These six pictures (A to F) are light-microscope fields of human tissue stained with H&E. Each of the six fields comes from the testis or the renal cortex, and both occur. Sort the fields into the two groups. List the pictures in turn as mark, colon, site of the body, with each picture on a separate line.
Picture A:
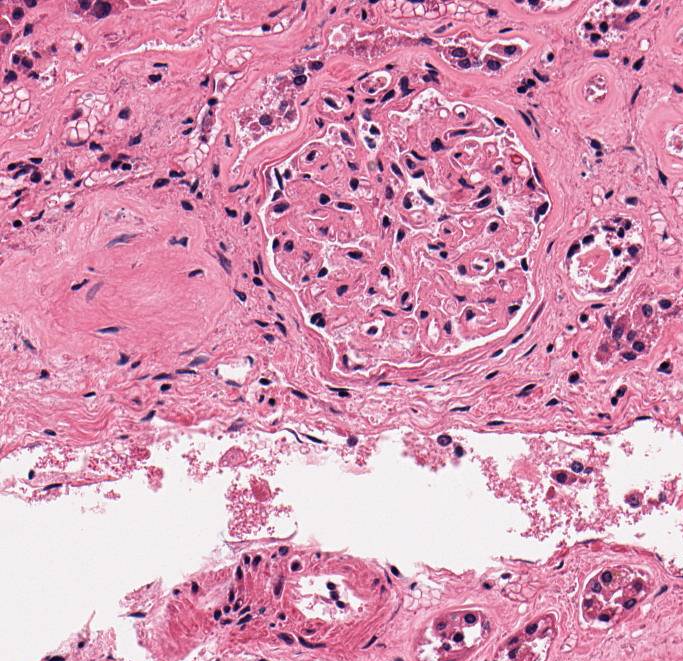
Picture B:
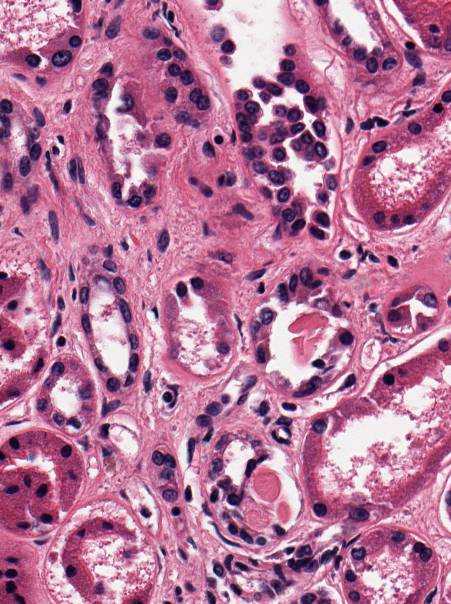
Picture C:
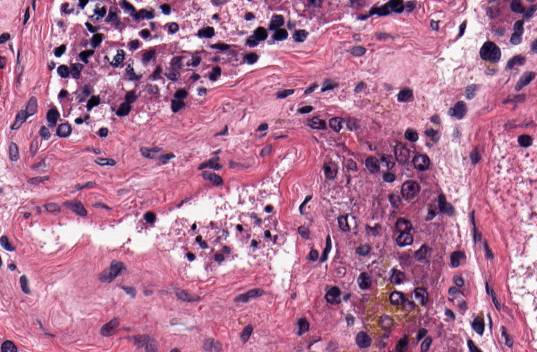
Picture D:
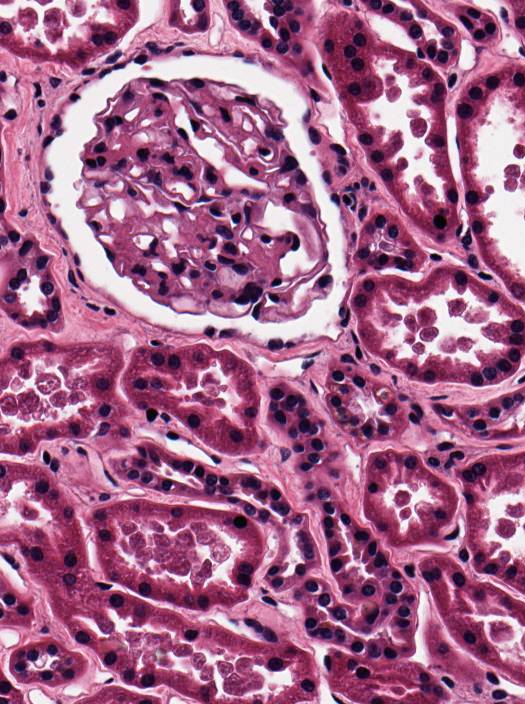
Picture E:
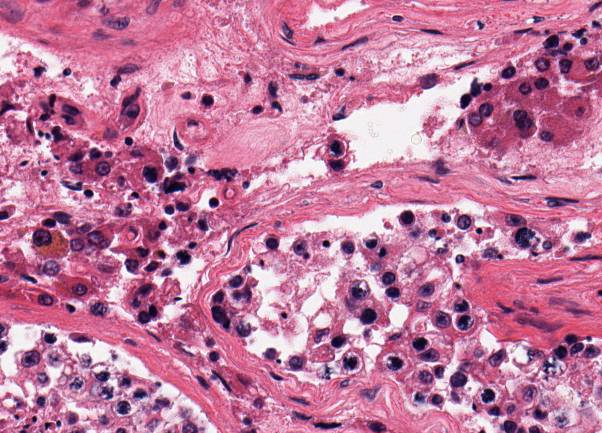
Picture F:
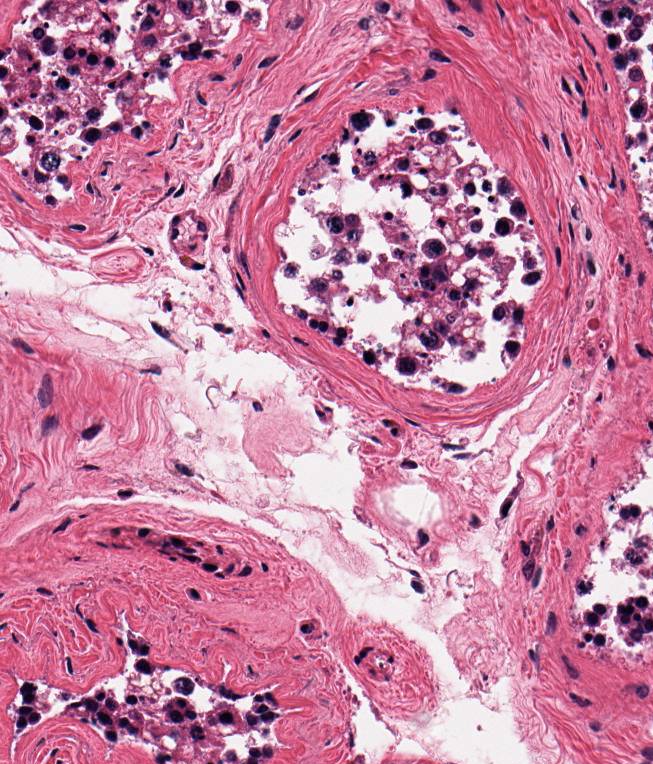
A: renal cortex
B: renal cortex
C: testis
D: renal cortex
E: testis
F: testis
